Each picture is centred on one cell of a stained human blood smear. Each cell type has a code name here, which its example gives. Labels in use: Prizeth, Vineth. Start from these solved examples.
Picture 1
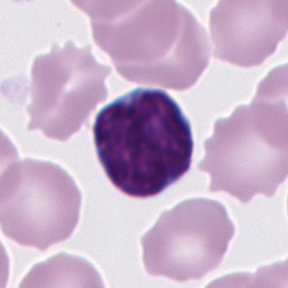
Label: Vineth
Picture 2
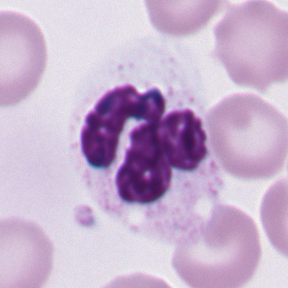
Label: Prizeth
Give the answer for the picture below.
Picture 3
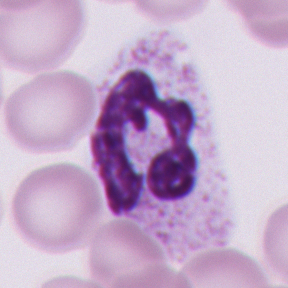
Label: Prizeth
